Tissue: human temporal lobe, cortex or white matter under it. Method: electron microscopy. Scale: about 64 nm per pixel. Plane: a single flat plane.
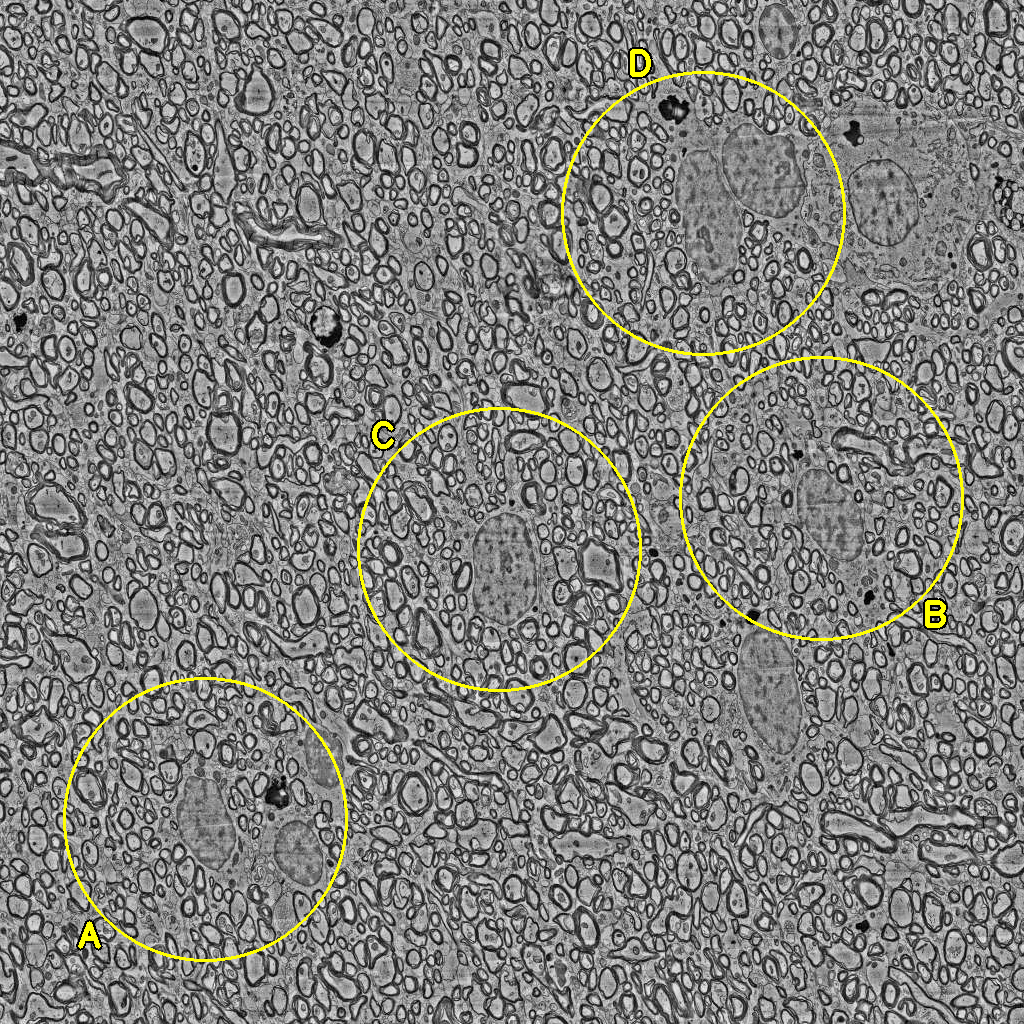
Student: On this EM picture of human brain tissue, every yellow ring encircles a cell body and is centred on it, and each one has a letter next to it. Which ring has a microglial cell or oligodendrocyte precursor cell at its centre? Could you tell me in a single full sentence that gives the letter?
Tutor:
Ring C is the one drawn around the cell you are asking about.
